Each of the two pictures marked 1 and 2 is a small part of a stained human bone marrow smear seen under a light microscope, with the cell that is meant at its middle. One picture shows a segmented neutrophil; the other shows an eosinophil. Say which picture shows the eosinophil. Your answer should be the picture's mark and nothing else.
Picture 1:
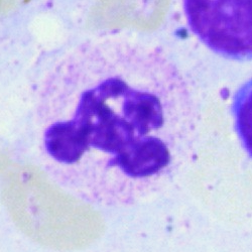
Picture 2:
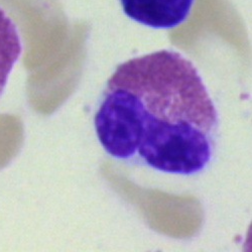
2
